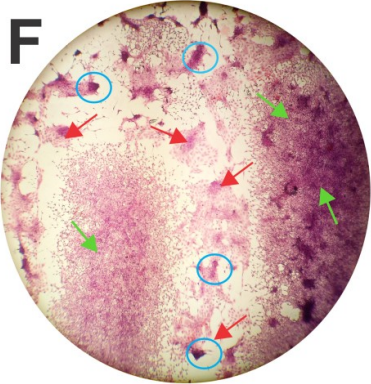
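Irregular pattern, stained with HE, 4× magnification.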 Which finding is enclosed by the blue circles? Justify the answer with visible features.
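Each circle surrounds a compact purple clump darker than the surrounding cells. Several such clumps are scattered across the field.
Agglomerations.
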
